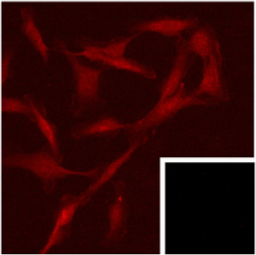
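The red fills the body of each cell and runs out along its long, tapering processes, so the spindle and triangular shapes of the cells stand out clearly. Several cells lie close together and their extensions overlap in the centre of the field. The brightness is fairly even through each cell, somewhat stronger in the thicker cell bodies than in the thin processes.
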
